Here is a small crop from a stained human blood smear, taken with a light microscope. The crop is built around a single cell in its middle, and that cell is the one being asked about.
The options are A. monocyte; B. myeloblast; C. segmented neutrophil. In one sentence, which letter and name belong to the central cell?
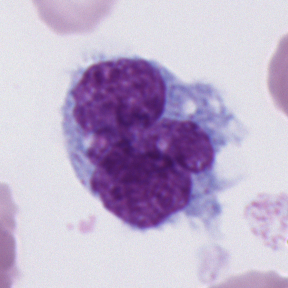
The centered cell is a monocyte, which is why option A is right.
